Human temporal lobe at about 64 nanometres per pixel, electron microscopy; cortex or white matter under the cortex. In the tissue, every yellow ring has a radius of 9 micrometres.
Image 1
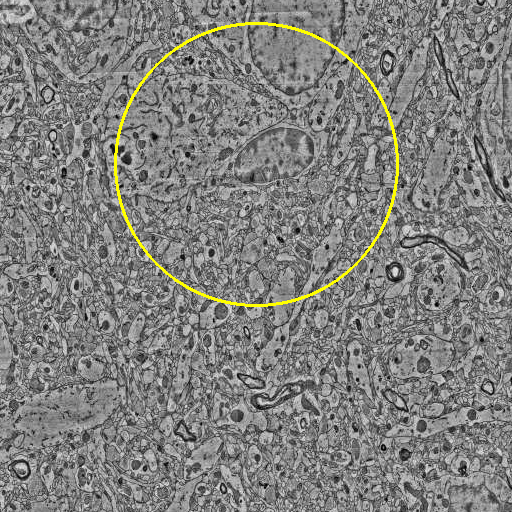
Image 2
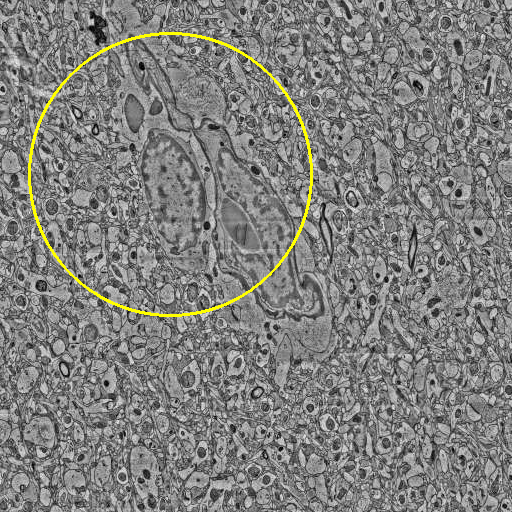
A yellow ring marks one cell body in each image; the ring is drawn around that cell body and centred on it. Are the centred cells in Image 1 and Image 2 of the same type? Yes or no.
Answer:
no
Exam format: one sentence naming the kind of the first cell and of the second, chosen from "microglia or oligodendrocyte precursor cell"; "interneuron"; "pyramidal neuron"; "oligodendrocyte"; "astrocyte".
The first picture's cell is a microglial cell or oligodendrocyte precursor cell, and the second picture's cell is an oligodendrocyte.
